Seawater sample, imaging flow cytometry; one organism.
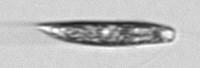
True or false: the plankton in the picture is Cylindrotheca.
False; it is an euglenophyte.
